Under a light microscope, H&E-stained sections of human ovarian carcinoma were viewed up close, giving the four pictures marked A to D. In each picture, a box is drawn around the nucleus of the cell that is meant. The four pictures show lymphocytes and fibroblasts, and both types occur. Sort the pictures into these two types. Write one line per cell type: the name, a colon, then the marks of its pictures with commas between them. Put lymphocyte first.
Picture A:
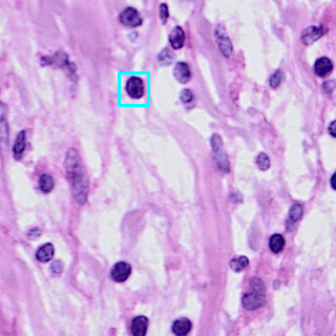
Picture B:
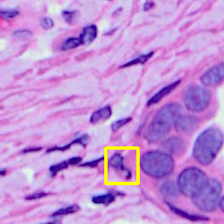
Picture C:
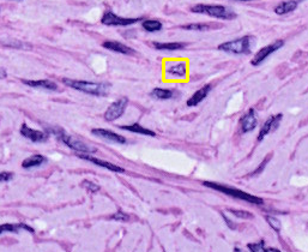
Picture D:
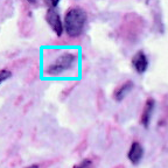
lymphocyte: A
fibroblast: B, C, D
